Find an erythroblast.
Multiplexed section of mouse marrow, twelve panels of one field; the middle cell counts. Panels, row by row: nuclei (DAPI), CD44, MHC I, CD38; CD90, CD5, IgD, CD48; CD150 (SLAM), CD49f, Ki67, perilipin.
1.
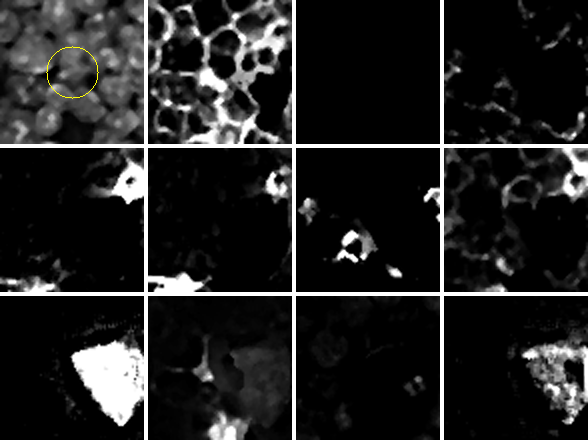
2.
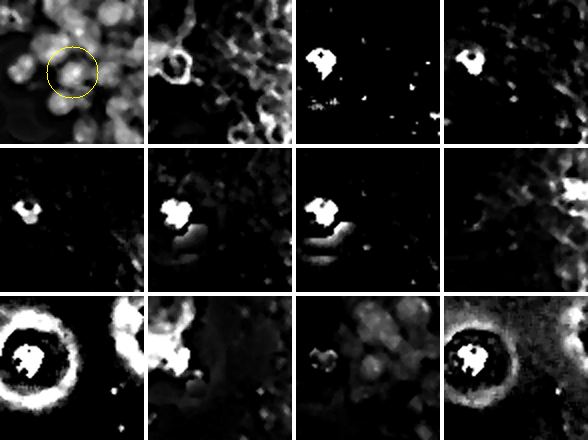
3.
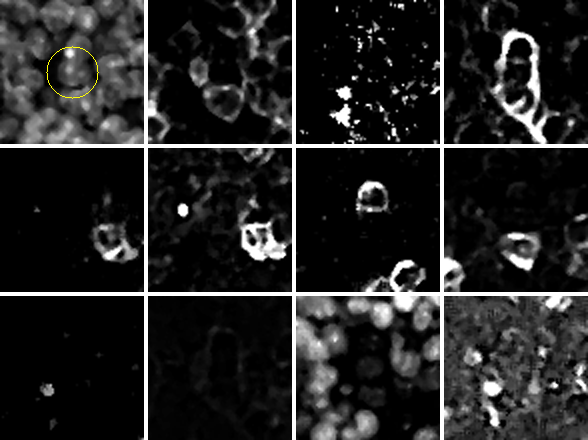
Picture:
2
